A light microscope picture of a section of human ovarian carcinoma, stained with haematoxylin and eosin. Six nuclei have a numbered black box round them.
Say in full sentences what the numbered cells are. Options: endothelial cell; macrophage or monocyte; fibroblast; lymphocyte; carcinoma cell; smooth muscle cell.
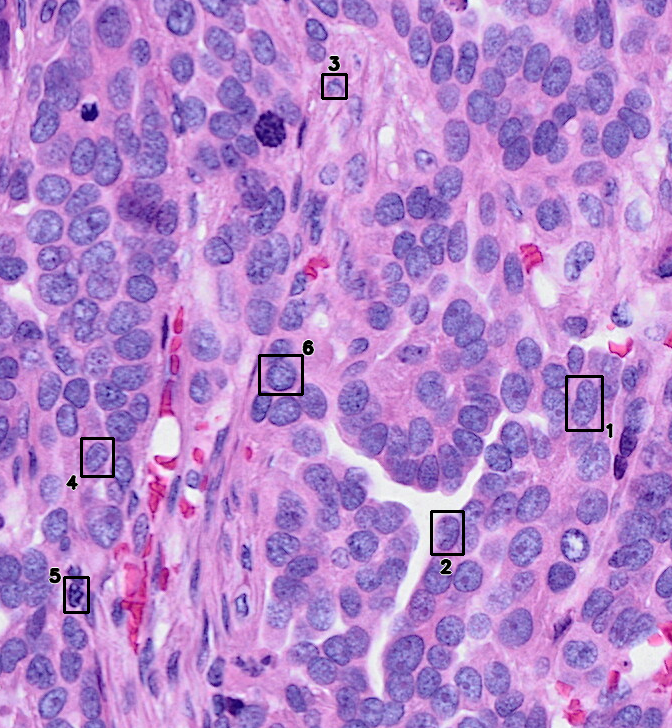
Cell 1 is a carcinoma cell, cell 2 is a carcinoma cell, cell 3 is a fibroblast, cell 4 is a carcinoma cell, cell 5 is a lymphocyte and cell 6 is a carcinoma cell.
